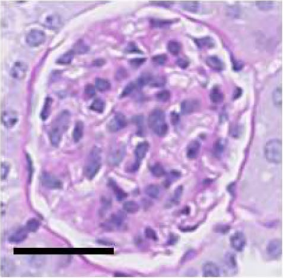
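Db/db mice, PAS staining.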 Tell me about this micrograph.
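A glomerulus of the kidney appears as a round, densely cellular tuft within a thin capsule, surrounded by tubules. Open capillary lumens are few and narrow. A narrow pale space separates the tuft from the capsule.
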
